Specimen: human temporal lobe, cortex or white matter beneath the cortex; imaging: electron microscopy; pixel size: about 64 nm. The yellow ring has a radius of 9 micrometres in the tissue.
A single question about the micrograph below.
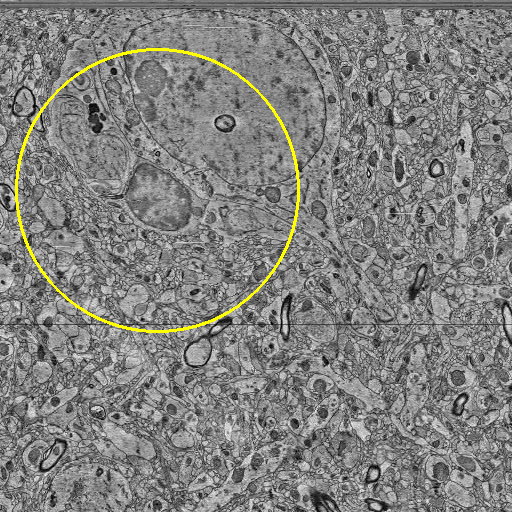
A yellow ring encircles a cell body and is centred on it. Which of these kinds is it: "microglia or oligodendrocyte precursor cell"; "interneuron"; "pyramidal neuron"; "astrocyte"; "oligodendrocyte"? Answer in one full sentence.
The cell body at the centre of the yellow ring belongs to an oligodendrocyte.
